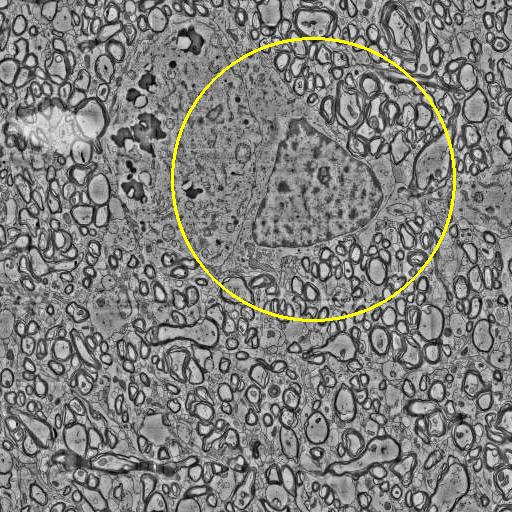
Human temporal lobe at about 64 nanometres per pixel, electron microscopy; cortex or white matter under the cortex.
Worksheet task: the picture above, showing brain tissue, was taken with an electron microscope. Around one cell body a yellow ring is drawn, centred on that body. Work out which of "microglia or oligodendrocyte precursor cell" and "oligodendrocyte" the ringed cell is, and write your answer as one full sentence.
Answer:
It is a microglial cell or oligodendrocyte precursor cell whose cell body lies at the centre of the yellow ring.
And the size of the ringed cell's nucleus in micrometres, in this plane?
The ringed cell's nucleus is about 8 micrometres across in this plane.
